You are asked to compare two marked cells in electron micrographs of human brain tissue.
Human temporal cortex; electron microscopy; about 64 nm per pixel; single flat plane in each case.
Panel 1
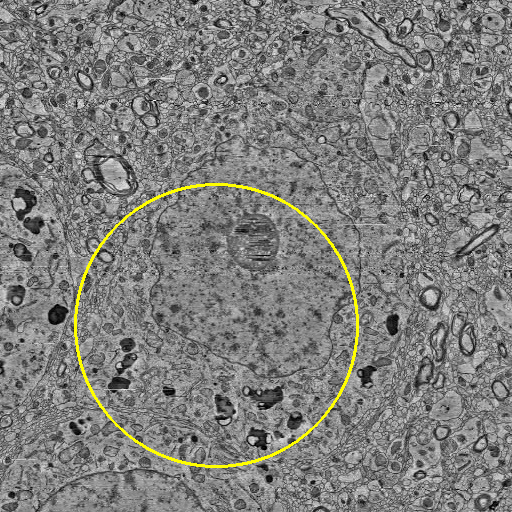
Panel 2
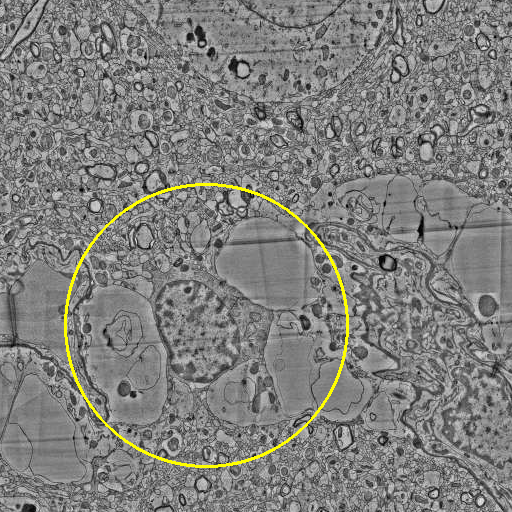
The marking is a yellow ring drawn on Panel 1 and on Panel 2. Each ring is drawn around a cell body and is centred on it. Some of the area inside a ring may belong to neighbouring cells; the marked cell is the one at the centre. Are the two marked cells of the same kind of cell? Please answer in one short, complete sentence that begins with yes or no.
No, the two marked cells are of two kinds.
